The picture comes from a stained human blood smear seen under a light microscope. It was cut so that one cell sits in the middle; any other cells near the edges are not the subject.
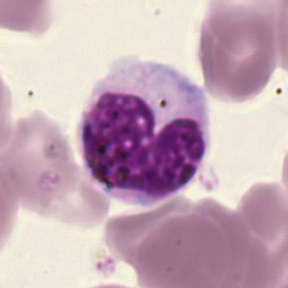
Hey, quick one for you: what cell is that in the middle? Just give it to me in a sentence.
Classified as a band neutrophil is the cell in the middle of this crop.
